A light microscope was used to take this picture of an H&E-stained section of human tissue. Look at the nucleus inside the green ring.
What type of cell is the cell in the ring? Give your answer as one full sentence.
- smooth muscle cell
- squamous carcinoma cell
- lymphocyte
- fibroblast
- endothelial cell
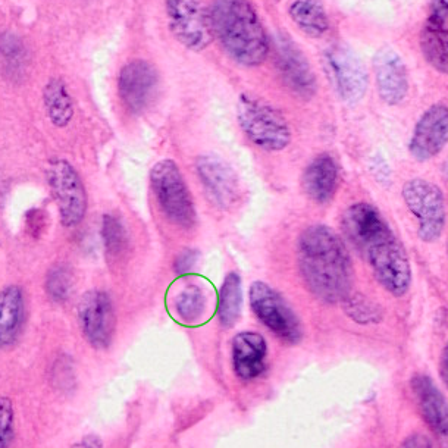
The correct response here is that the cell in the ring is a squamous carcinoma cell.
